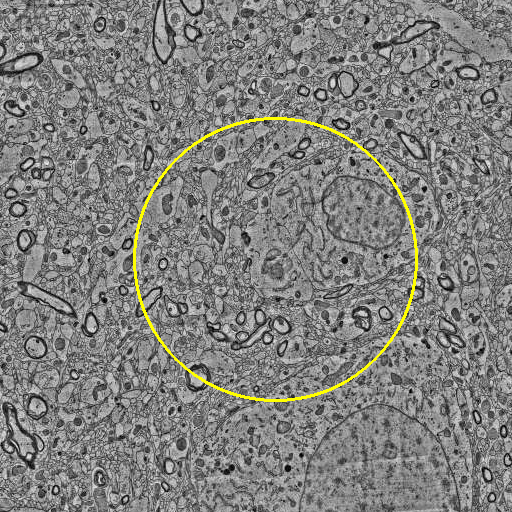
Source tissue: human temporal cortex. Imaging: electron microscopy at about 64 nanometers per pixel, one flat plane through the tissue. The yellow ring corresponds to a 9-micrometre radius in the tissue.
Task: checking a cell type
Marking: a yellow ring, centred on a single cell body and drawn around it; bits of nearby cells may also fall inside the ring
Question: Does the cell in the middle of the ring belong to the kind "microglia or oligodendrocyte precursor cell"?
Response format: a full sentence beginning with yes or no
Yes, the cell marked at the ring's centre in the picture is of that kind.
